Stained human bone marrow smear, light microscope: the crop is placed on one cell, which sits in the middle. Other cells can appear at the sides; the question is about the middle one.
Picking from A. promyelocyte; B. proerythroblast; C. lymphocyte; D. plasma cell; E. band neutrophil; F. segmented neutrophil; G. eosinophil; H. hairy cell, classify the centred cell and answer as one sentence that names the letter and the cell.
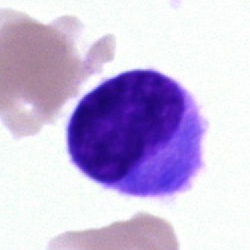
Of the options given, H is correct, the central cell being a hairy cell.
